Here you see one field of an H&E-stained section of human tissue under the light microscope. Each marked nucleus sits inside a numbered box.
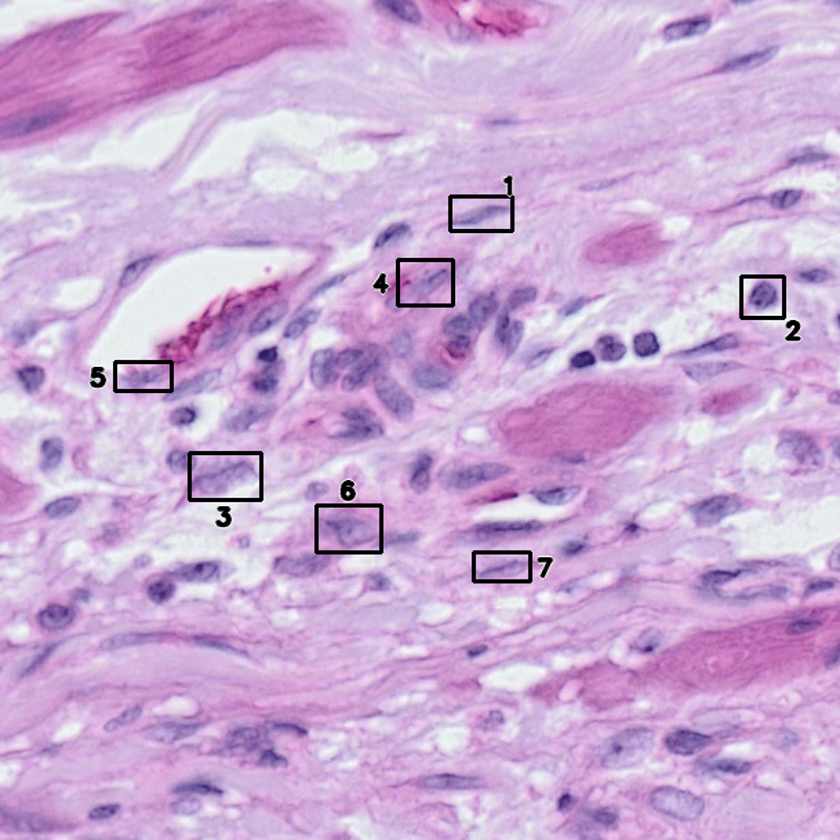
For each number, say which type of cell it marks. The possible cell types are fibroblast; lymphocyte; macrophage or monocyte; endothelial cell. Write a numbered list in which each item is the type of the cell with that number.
1. fibroblast
2. lymphocyte
3. fibroblast
4. endothelial cell
5. endothelial cell
6. endothelial cell
7. fibroblast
